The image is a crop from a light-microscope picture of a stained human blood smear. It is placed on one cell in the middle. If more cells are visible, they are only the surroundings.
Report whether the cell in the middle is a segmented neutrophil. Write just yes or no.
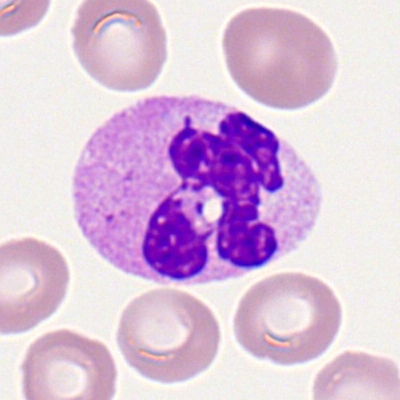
yes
